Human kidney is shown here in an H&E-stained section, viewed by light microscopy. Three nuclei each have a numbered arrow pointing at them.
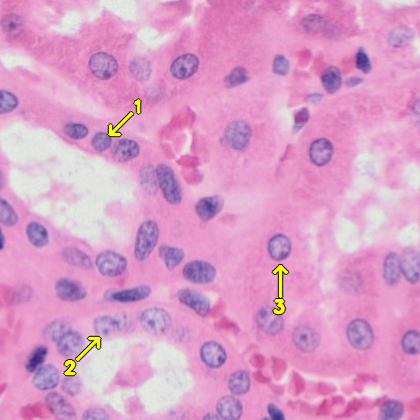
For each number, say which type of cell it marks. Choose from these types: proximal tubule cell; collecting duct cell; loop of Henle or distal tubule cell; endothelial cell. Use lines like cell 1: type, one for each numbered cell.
cell 1: collecting duct cell
cell 2: collecting duct cell
cell 3: proximal tubule cell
